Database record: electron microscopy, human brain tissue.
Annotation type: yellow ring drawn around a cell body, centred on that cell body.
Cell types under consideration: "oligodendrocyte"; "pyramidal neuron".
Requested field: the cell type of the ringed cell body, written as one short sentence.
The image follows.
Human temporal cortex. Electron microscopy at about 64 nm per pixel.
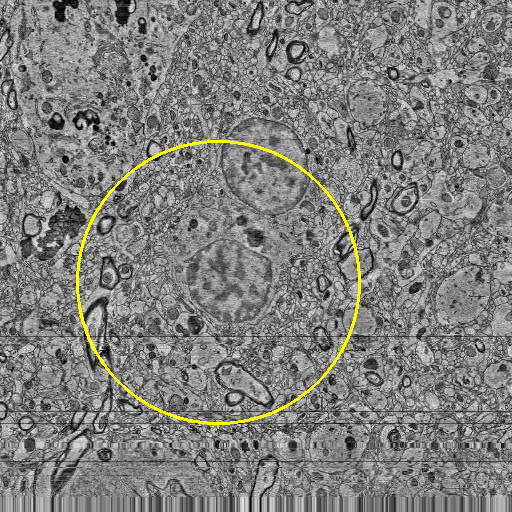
The ringed cell body represents an oligodendrocyte.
